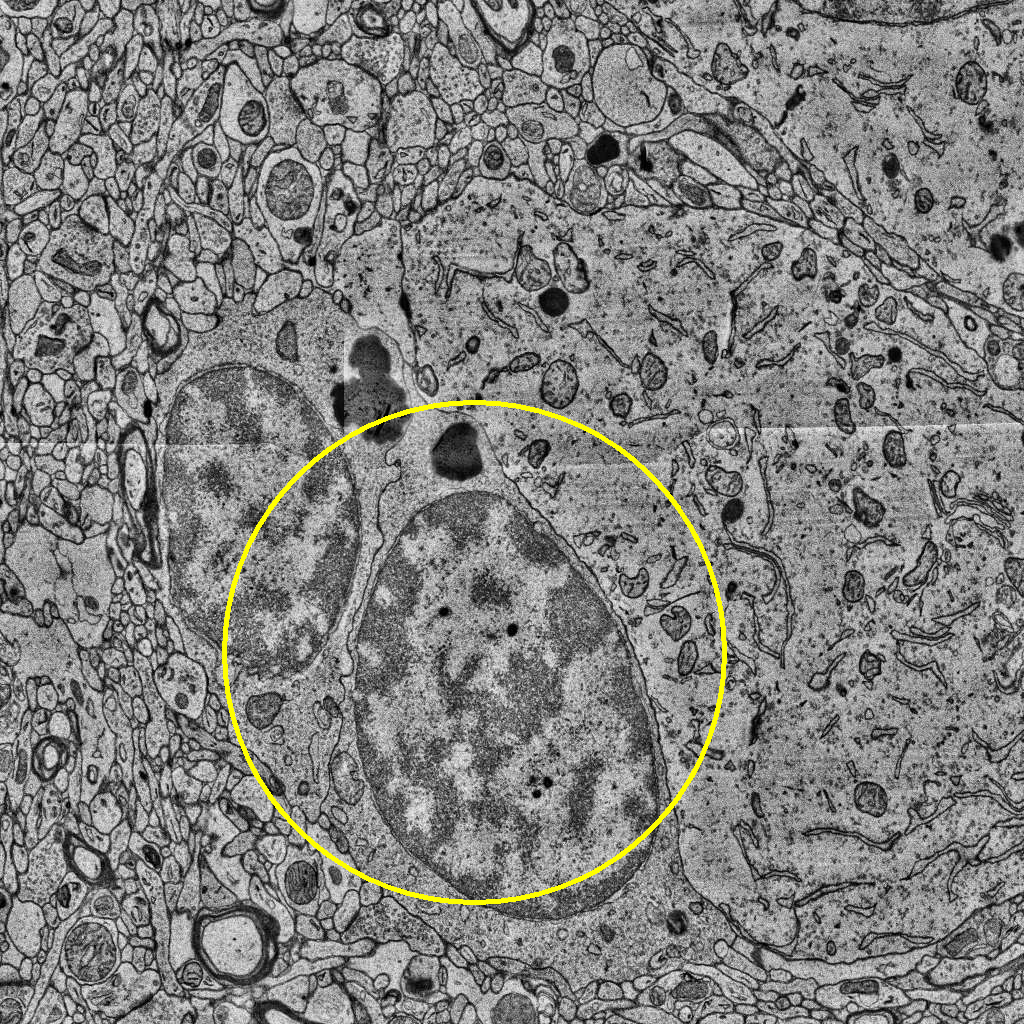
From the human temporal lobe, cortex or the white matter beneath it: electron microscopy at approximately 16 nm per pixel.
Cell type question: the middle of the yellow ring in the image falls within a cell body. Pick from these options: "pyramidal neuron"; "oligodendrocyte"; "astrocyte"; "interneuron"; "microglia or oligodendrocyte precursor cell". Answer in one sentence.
The cell body at the center of the ring belongs to an oligodendrocyte.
